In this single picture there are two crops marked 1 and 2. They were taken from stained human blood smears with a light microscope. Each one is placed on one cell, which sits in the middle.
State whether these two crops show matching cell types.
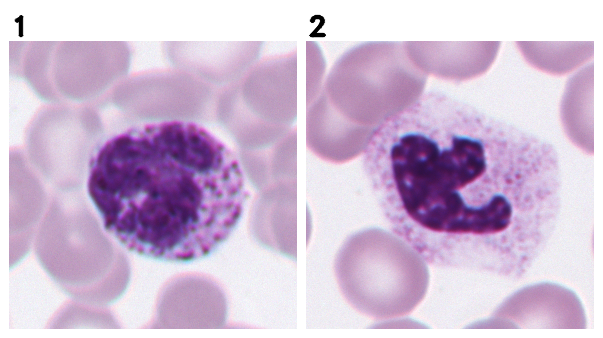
no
